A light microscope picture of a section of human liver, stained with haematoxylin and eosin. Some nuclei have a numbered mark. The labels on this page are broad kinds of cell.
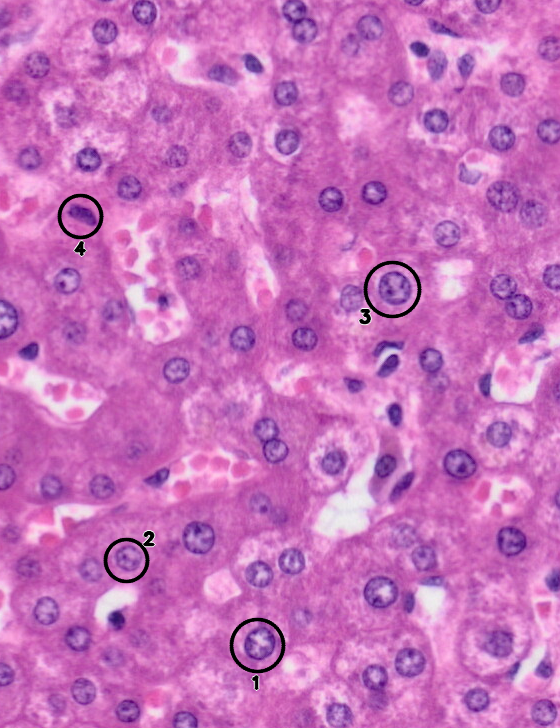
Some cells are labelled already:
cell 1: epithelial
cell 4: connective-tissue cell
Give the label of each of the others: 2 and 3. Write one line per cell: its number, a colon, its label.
2: epithelial
3: epithelial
